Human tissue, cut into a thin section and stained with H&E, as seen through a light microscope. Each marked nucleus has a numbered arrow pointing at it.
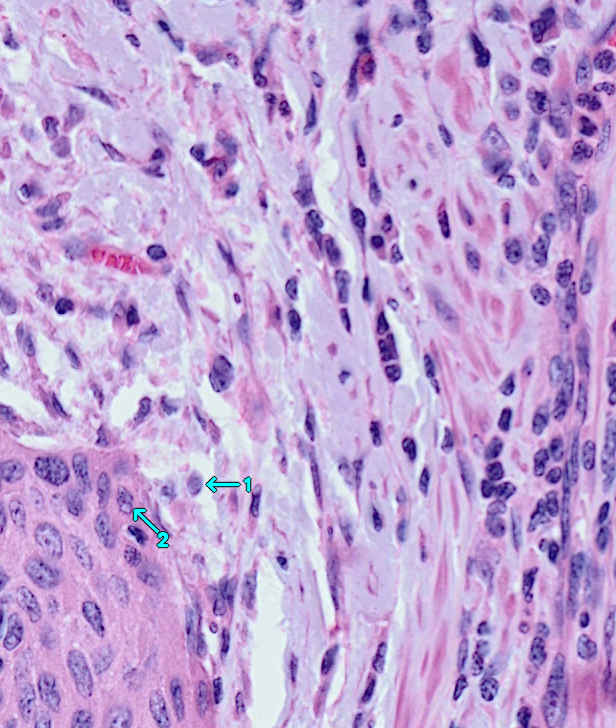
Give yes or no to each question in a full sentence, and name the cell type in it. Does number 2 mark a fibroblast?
No, cell 2 counts as a squamous carcinoma cell rather than as a fibroblast.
